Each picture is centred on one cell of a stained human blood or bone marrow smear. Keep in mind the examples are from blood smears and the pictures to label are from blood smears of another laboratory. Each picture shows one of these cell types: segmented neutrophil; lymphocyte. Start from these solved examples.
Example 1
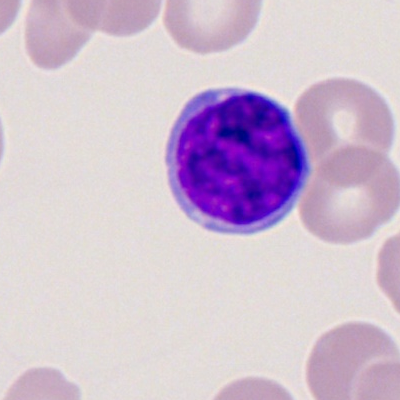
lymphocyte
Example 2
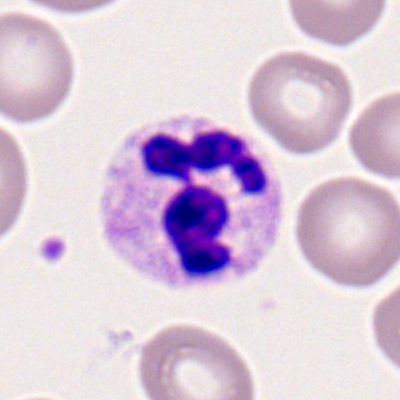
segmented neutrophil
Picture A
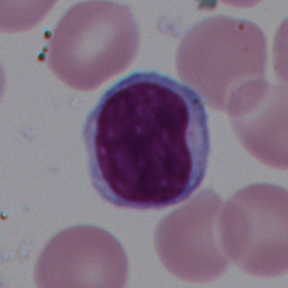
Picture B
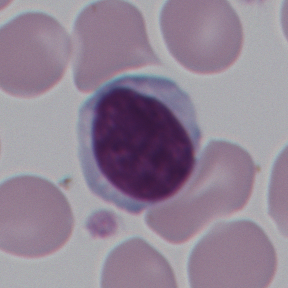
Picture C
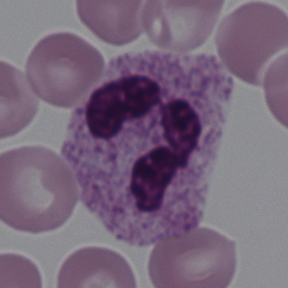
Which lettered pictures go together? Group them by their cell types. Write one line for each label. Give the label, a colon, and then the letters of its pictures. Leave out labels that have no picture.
segmented neutrophil: C
lymphocyte: A, B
